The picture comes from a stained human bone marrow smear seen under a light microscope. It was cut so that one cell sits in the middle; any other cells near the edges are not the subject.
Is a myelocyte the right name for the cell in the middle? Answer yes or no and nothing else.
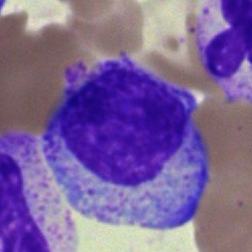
yes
